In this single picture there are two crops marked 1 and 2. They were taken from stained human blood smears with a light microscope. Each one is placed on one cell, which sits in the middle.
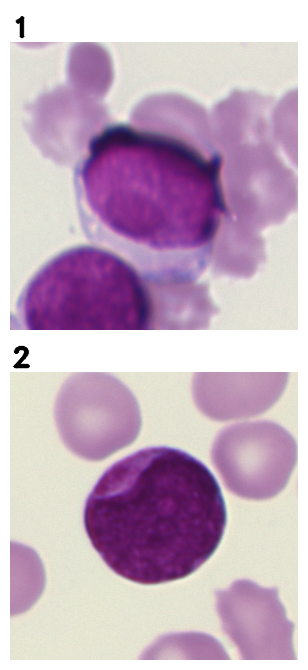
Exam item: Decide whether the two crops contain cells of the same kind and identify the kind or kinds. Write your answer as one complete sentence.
Yes, myeloblasts lie at the centre of both crops.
